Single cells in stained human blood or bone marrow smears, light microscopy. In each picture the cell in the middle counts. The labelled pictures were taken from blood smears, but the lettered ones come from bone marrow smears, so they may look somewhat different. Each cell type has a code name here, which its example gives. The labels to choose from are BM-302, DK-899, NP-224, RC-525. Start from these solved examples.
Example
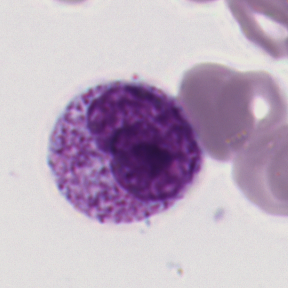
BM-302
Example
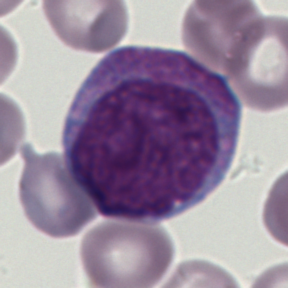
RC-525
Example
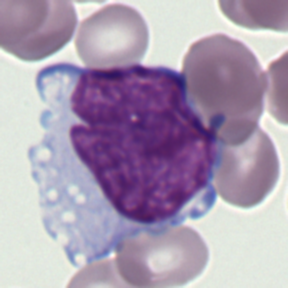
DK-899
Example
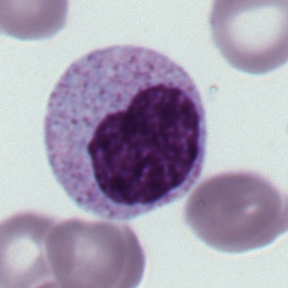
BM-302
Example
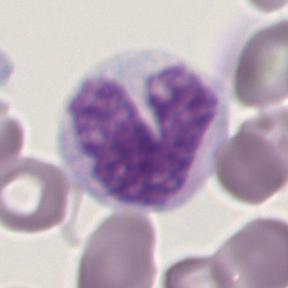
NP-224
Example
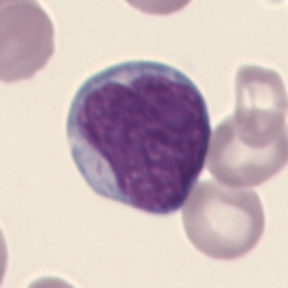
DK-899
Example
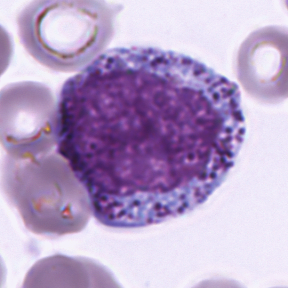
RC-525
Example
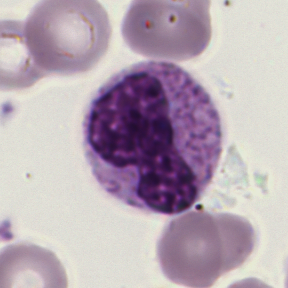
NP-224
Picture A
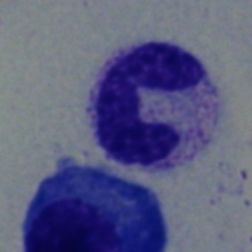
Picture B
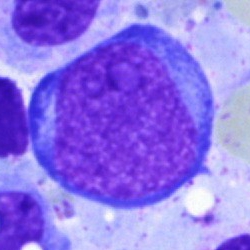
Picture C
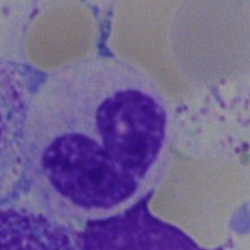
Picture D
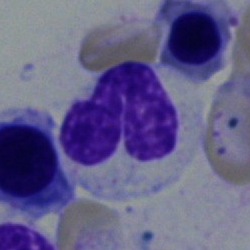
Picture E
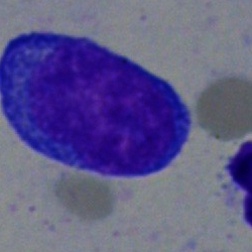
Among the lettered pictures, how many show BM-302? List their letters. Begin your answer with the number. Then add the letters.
0, none of them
